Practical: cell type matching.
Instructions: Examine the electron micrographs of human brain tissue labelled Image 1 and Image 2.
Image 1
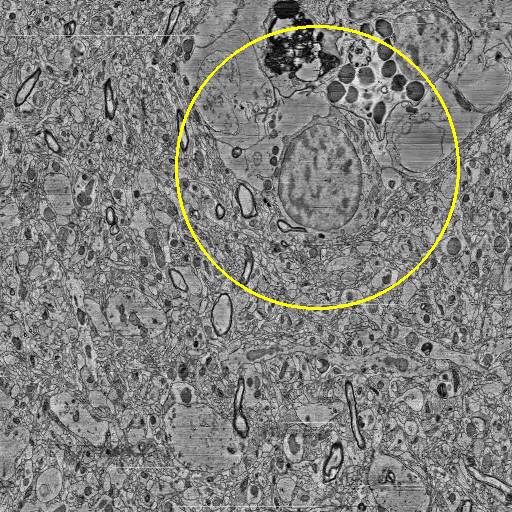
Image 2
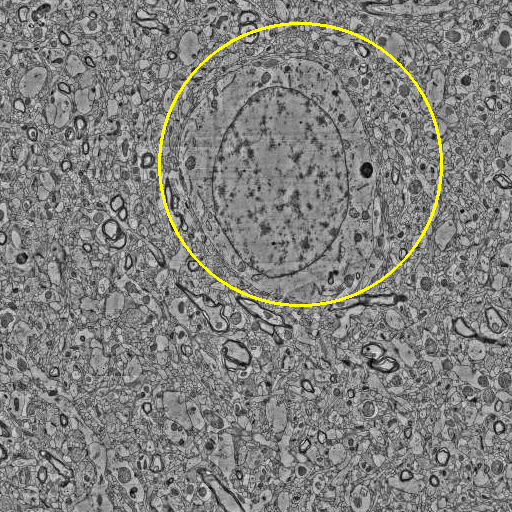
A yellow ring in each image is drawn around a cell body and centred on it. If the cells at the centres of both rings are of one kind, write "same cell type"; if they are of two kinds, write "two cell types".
two cell types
